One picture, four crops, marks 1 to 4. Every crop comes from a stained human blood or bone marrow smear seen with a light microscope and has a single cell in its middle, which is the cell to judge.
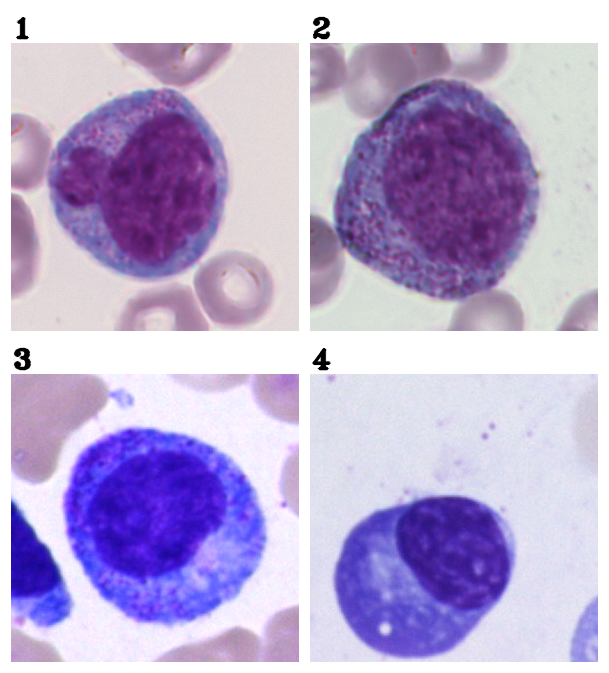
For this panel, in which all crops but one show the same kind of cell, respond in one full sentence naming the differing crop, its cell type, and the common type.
The different crop is crop 4, a plasma cell; all the others show promyelocytes.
